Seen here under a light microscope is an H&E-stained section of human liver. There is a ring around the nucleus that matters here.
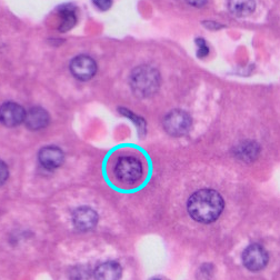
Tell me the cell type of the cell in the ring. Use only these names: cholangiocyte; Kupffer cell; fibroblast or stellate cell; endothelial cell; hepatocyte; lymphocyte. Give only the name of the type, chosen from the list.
hepatocyte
